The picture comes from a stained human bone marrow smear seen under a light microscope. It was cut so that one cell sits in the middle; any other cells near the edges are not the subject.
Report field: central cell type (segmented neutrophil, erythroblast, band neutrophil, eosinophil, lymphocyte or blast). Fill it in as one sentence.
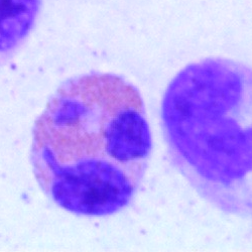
Among the cells in view, the one in the middle is an eosinophil.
